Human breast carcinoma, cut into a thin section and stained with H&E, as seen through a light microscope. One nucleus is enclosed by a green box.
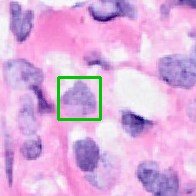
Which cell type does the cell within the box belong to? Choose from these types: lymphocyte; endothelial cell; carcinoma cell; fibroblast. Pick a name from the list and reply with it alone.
carcinoma cell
